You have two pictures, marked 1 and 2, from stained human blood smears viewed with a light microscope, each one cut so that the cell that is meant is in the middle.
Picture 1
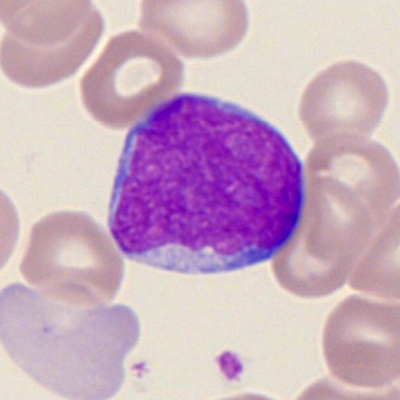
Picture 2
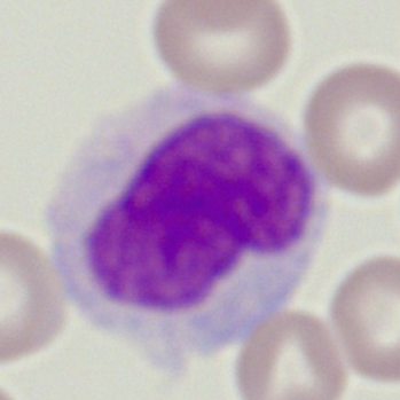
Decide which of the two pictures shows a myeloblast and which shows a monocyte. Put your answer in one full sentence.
It is picture 1 that shows a myeloblast, and picture 2 that shows a monocyte.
